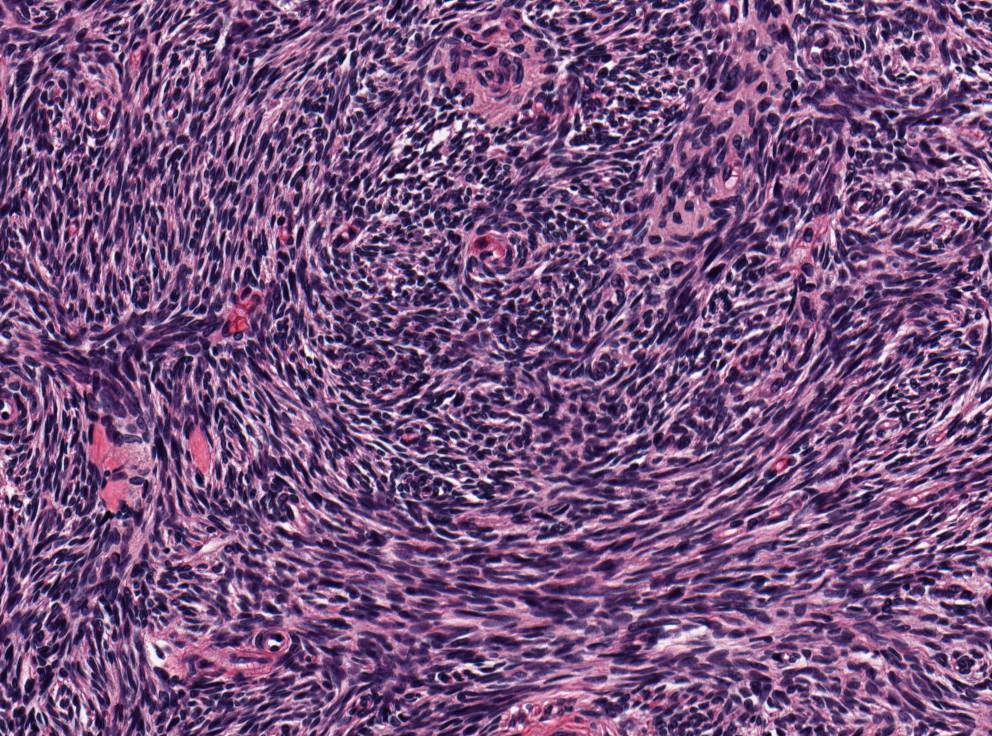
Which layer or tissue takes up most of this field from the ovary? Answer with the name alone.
ovarian cortex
